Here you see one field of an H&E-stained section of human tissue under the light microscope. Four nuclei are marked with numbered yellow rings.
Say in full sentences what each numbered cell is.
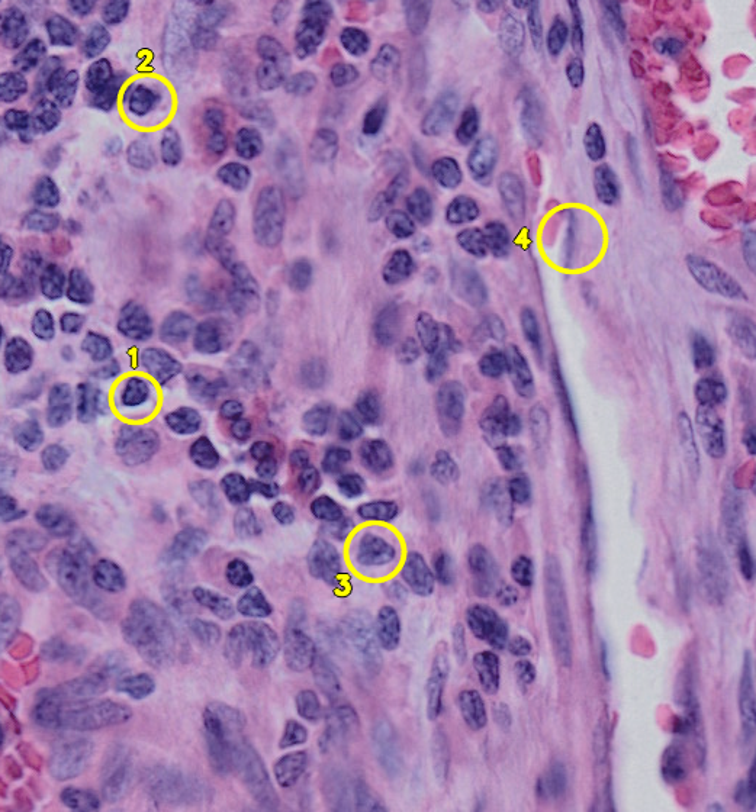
Cell 1 is a lymphocyte, cell 2 is a lymphocyte, cell 3 is a lymphocyte and cell 4 is an endothelial cell.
